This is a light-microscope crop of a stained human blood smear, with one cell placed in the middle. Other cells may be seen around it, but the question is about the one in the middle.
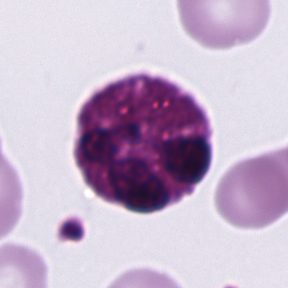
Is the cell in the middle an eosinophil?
yes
